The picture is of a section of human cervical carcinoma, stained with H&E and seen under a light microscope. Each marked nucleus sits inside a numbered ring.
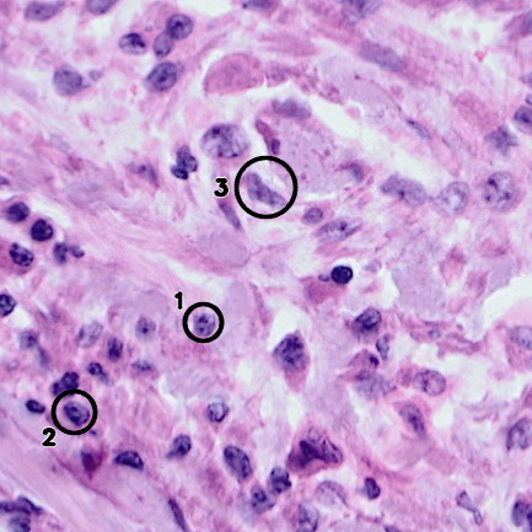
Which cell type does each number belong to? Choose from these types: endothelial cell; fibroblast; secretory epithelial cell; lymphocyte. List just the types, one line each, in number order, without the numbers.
lymphocyte
lymphocyte
fibroblast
